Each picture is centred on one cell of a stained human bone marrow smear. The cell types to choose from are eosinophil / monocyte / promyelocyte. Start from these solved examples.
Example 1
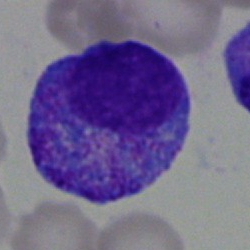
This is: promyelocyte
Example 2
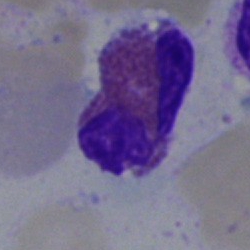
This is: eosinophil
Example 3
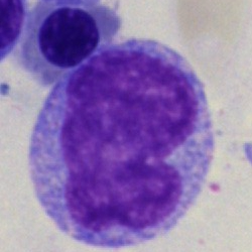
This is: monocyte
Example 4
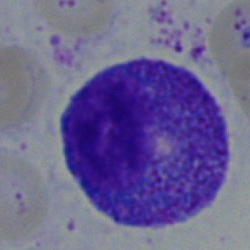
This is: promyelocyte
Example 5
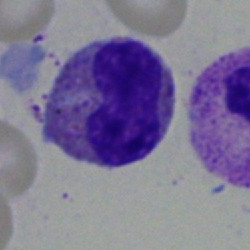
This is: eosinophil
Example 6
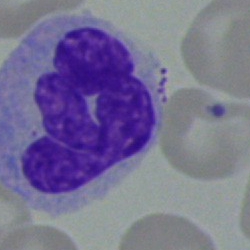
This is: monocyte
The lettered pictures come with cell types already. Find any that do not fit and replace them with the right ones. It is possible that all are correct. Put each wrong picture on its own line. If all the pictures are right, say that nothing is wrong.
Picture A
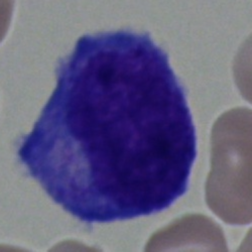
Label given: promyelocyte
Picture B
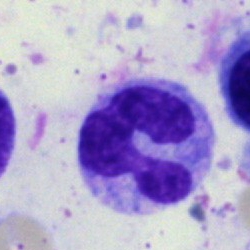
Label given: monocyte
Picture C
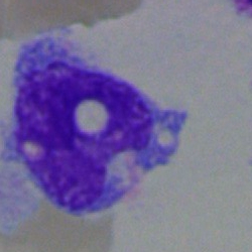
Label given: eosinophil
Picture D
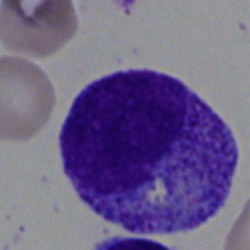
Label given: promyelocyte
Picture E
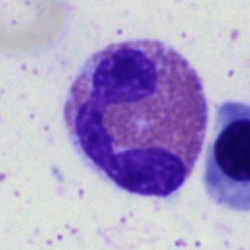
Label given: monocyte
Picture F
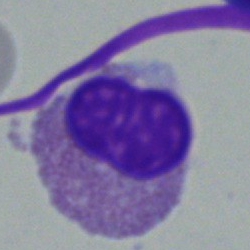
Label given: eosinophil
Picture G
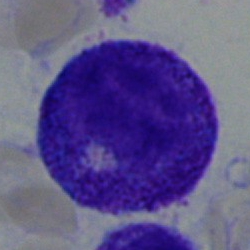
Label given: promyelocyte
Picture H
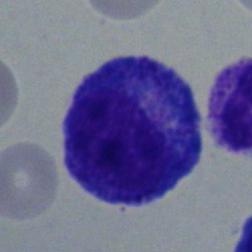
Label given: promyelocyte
C is labelled eosinophil; correct label: monocyte
E is labelled monocyte; correct label: eosinophil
